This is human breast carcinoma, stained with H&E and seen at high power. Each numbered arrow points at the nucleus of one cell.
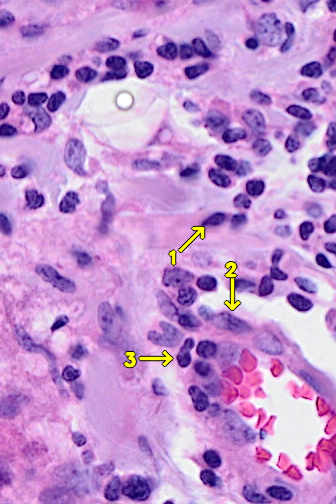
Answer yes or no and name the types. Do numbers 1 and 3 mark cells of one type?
Yes, that cells 1 and 3 are both lymphocytes holds true.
